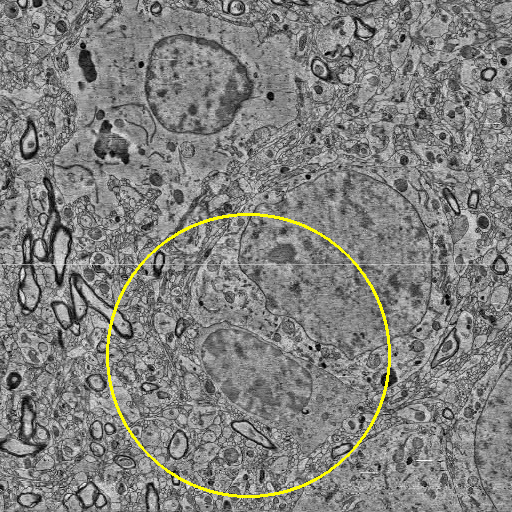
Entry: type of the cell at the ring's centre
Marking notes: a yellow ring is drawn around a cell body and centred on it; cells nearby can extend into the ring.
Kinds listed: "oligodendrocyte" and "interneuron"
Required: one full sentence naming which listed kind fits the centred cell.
My entry names an oligodendrocyte as the cell whose body the yellow ring centres on.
